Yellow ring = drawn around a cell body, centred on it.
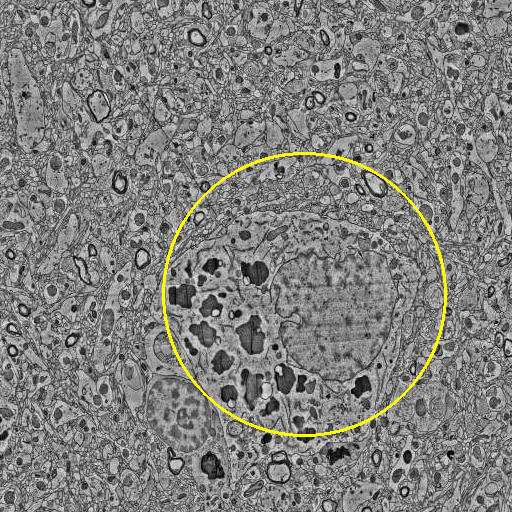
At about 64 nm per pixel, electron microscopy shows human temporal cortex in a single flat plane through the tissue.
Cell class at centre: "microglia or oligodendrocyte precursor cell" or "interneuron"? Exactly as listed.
interneuron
